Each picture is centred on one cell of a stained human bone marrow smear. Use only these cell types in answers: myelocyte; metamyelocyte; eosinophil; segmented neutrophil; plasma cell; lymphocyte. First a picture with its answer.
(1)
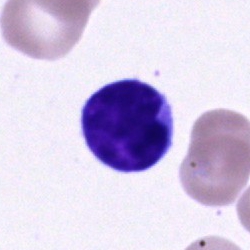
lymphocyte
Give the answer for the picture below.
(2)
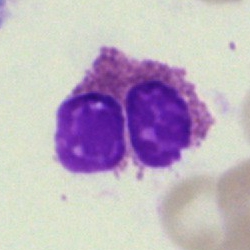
eosinophil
